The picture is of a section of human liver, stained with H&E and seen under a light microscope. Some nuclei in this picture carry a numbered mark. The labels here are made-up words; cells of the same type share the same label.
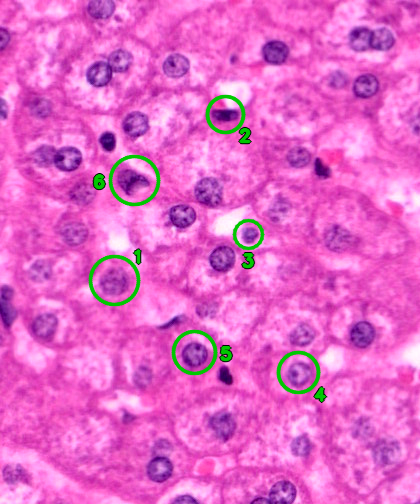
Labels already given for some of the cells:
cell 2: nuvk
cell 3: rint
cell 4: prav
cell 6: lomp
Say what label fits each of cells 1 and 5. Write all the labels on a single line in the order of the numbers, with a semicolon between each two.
prav; prav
